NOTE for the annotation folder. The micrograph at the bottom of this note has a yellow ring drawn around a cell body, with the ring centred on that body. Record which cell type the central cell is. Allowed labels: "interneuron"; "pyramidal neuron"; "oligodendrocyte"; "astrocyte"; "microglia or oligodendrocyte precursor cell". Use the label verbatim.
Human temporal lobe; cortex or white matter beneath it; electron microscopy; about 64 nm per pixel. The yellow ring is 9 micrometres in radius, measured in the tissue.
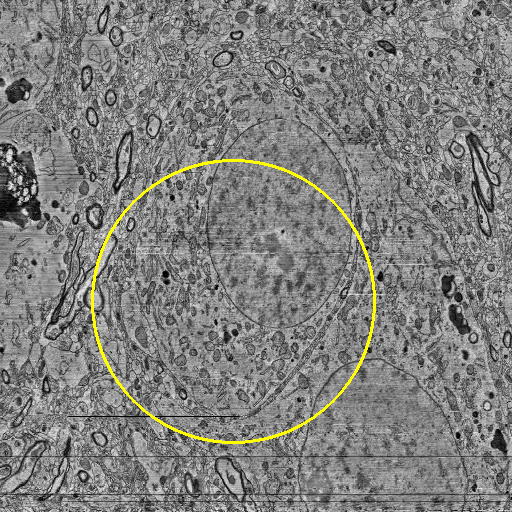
interneuron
